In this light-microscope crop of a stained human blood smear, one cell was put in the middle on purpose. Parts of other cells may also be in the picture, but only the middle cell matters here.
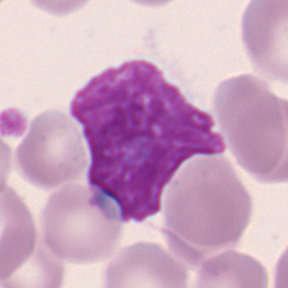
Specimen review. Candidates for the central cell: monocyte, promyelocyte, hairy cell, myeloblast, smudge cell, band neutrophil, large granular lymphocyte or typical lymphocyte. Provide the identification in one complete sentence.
The cell in the middle of this crop is a smudge cell.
